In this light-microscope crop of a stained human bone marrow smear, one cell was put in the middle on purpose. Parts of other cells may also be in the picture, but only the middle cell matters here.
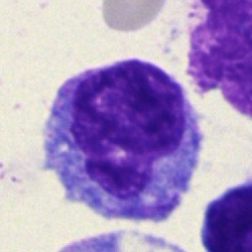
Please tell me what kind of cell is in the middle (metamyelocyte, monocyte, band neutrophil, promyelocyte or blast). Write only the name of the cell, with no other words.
monocyte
